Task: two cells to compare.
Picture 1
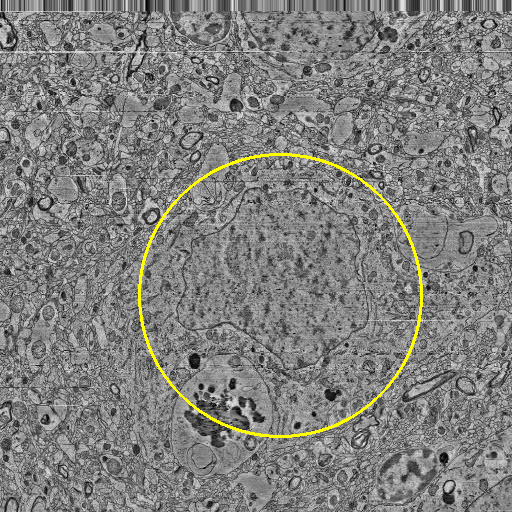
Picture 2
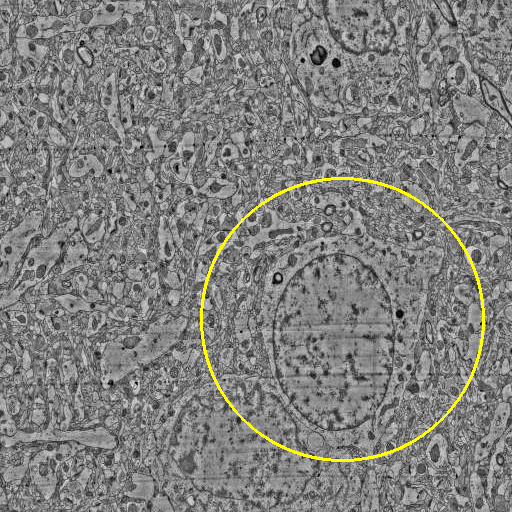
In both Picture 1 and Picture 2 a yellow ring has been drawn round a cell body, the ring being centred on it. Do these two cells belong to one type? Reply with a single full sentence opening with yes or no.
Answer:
Yes, the two cells at the ring centres in Picture 1 and Picture 2 share one type.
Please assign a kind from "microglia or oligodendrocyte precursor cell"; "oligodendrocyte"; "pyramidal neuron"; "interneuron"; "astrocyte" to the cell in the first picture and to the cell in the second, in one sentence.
Each of the two pictures has a pyramidal neuron at the ring centre.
